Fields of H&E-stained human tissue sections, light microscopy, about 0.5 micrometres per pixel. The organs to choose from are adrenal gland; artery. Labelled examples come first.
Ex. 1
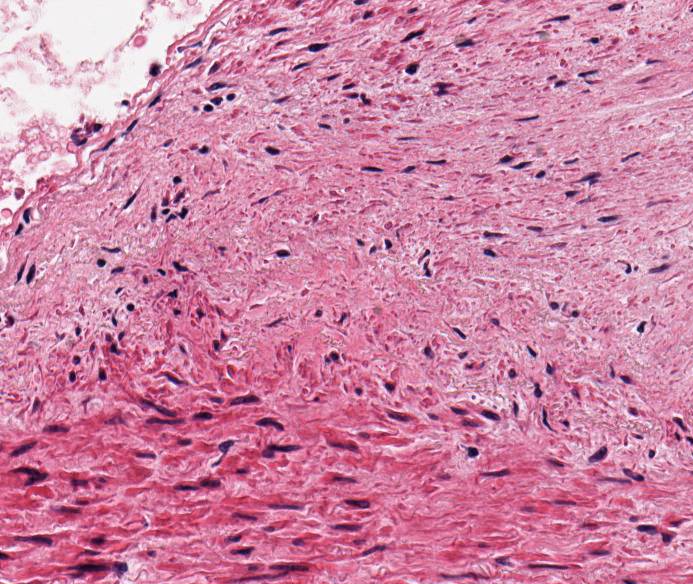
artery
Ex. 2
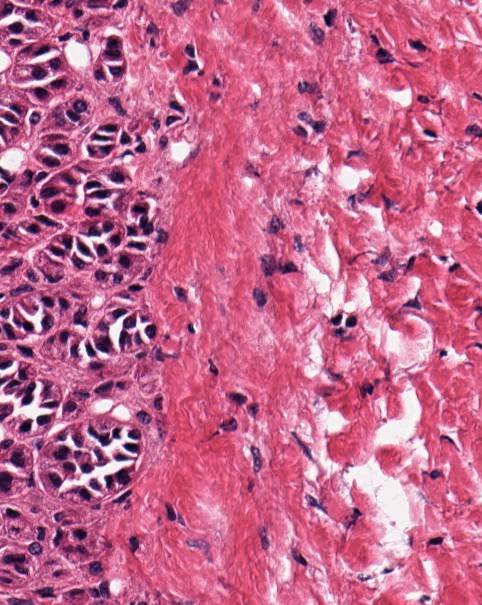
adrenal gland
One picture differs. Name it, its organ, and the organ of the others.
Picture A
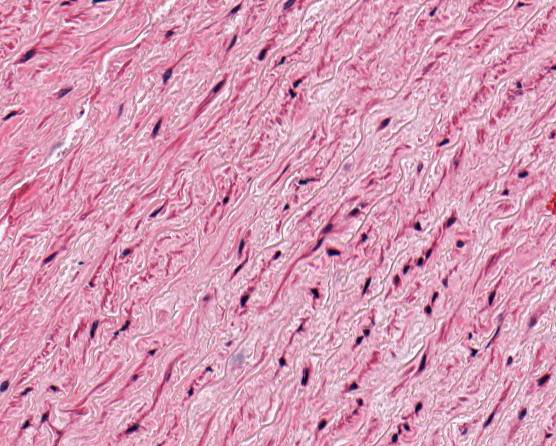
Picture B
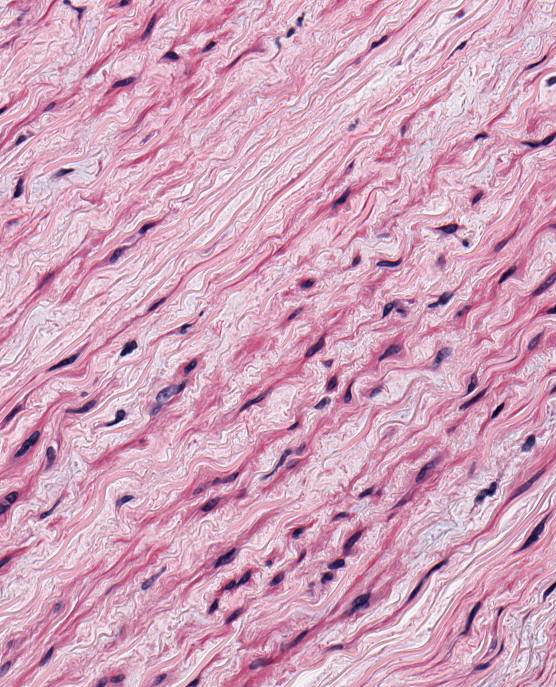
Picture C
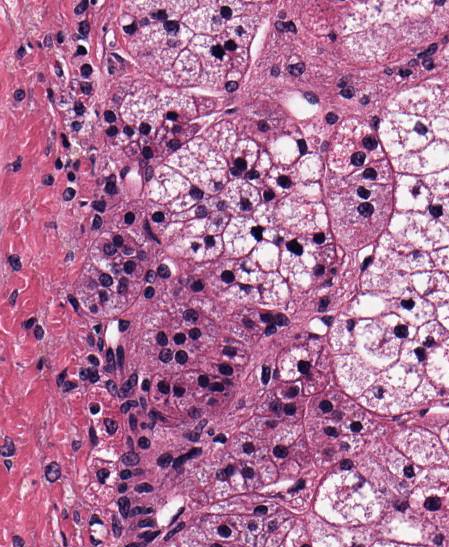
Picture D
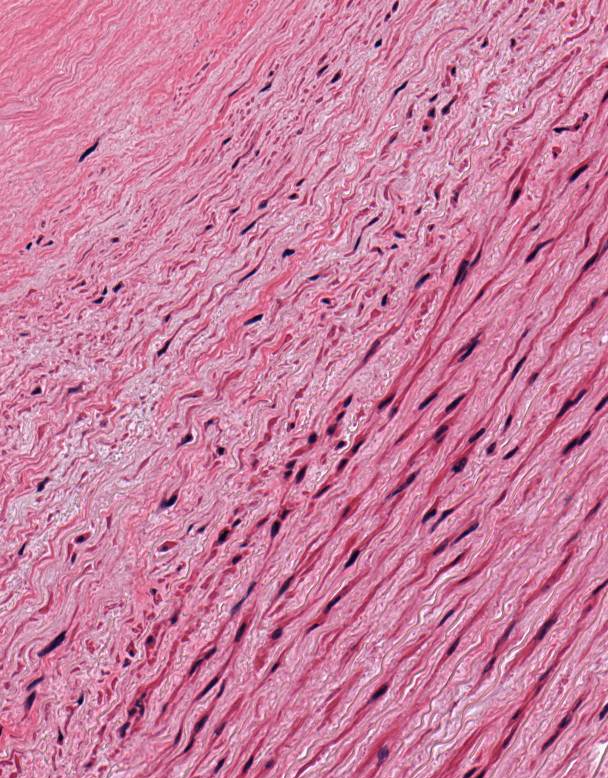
Different: C, adrenal gland. Others: artery.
